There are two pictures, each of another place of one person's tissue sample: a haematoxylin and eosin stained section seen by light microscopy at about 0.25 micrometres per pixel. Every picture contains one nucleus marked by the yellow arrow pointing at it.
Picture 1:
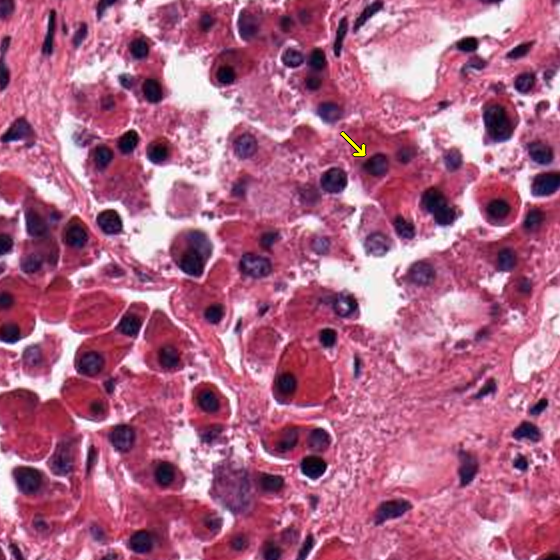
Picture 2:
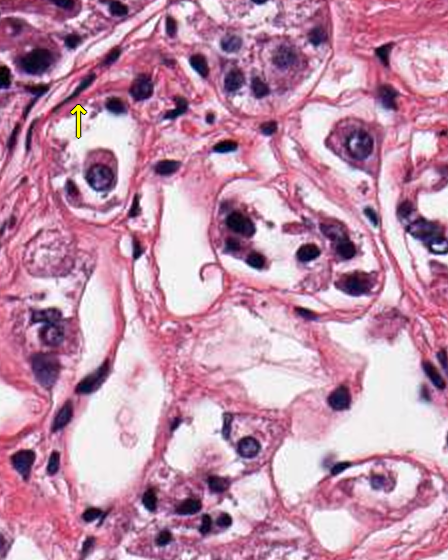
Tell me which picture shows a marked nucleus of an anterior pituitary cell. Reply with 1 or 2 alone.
1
